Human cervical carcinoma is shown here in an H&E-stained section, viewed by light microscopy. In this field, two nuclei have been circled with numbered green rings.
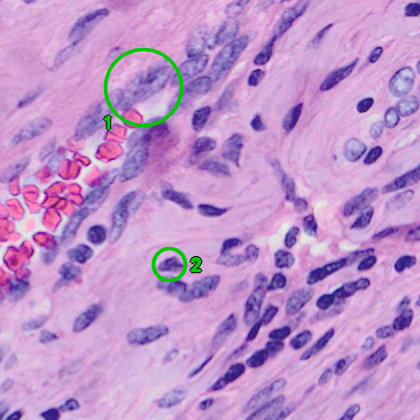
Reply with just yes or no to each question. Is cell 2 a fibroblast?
yes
